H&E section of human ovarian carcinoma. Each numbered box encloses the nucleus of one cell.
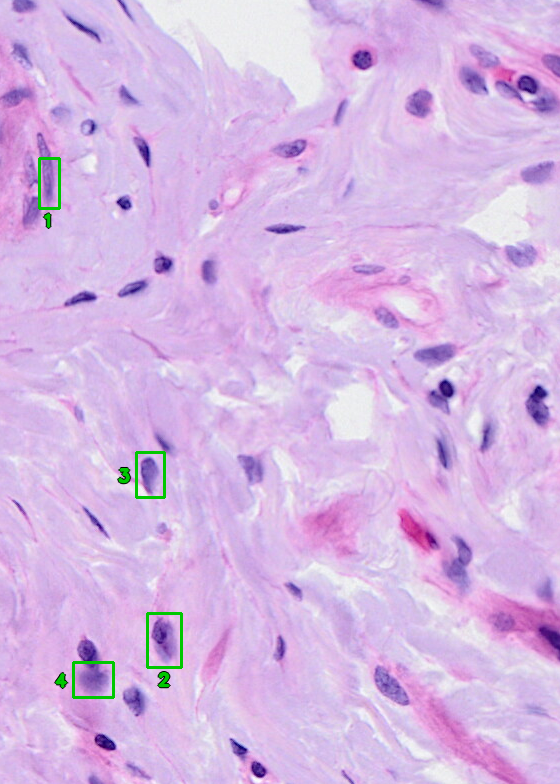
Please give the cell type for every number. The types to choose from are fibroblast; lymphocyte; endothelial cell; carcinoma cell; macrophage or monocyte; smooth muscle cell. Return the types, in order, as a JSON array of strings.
["smooth muscle cell", "fibroblast", "fibroblast", "fibroblast"]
